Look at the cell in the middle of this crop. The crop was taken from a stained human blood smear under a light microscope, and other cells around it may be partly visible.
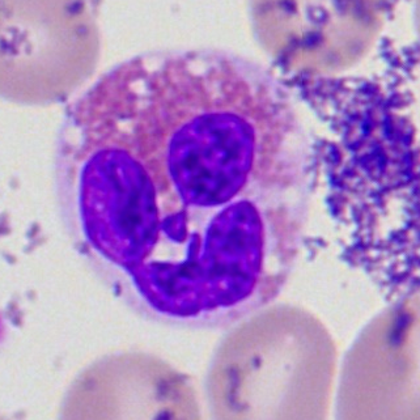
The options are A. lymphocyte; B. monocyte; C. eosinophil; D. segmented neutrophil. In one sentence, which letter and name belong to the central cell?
Of the options given, C is correct, the central cell being an eosinophil.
